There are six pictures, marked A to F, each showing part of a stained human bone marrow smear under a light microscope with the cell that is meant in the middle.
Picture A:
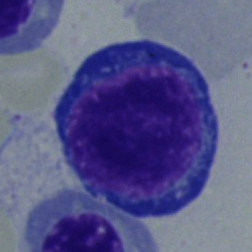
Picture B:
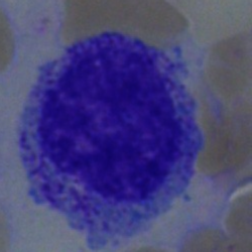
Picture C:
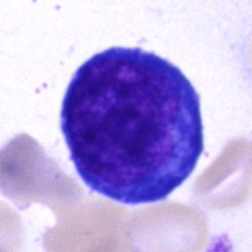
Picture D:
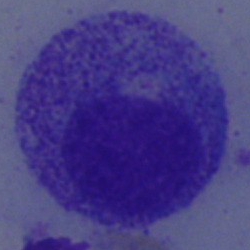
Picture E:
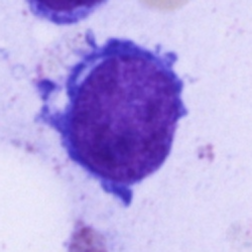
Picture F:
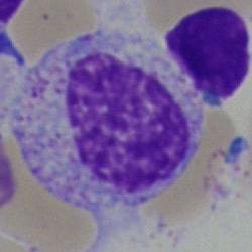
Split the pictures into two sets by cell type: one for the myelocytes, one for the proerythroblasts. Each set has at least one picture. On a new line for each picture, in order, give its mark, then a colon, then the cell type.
A: proerythroblast
B: myelocyte
C: proerythroblast
D: myelocyte
E: proerythroblast
F: myelocyte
